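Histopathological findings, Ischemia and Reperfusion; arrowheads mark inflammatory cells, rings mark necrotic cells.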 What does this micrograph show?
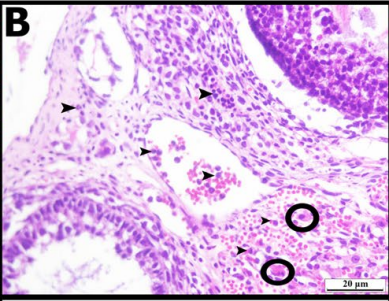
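Loose connective tissue lies between two follicles whose epithelial linings, made of densely packed cells with dark purple nuclei, show at the upper right and lower left. The intervening stroma contains spindle-shaped cells with elongated nuclei in a pale pink matrix. A thin-walled vessel in the centre holds red blood cells, and further red cells spill into the tissue at lower right.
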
